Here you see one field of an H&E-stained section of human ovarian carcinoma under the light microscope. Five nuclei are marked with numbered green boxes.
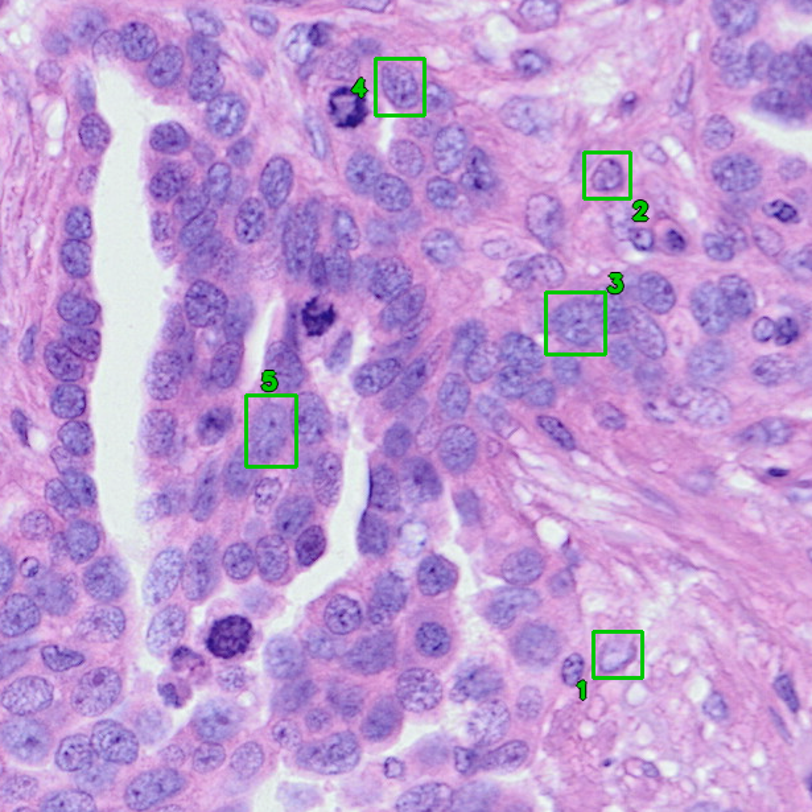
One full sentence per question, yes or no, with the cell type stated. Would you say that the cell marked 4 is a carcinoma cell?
Yes, of the numbered cells, number 4 is a carcinoma cell.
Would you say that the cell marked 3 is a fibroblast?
No, calling cell 3 a fibroblast is a mistake; it is a carcinoma cell.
